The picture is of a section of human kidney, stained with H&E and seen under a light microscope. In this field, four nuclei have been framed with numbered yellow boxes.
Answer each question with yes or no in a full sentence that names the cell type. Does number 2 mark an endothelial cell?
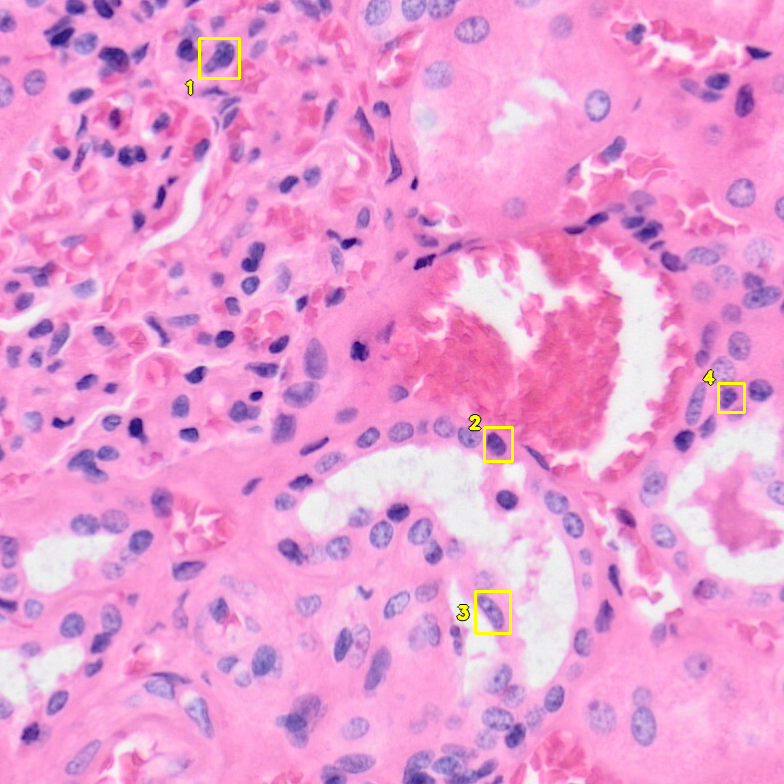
No, the one with number 2 is a collecting duct cell, not an endothelial cell.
